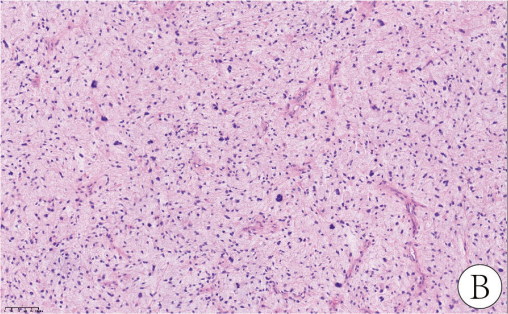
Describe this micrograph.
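Tumor cells with atypical, deeply stained nuclei are spread through a pale pink, loose stroma. The nuclei are mostly oval to spindle-shaped, with scattered larger, darker and irregular nuclei. Cytoplasm is scant and ill-defined, merging with the fibrillary background. Thin-walled small vessels with pink walls branch between the cells. The cells are fairly evenly dispersed without forming nests or layers.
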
